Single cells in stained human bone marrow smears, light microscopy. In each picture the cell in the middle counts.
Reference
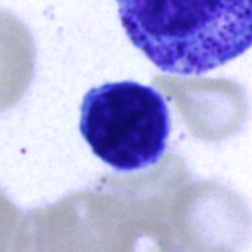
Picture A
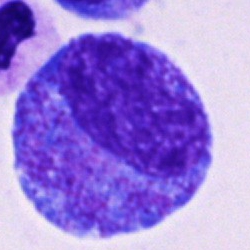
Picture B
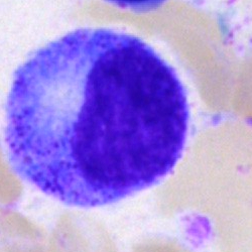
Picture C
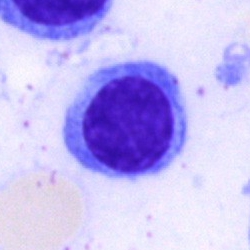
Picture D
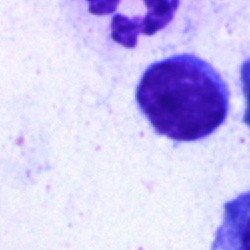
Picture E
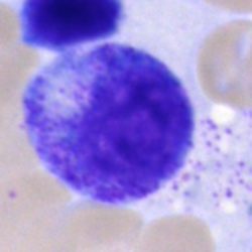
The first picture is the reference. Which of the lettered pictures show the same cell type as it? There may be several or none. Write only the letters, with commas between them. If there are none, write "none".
C, D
